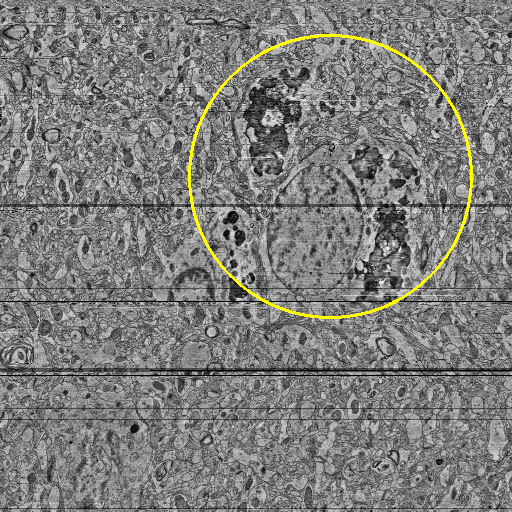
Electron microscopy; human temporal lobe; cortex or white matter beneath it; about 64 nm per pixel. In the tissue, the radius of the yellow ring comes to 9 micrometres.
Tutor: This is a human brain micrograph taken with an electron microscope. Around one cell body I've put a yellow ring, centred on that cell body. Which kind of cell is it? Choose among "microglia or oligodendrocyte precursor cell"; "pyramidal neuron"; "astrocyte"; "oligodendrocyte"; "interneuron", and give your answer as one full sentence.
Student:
Going by your list, the cell centred in the yellow ring is an astrocyte.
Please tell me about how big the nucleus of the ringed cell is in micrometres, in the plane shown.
Approximately 9 by 6 micrometers in this plane.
